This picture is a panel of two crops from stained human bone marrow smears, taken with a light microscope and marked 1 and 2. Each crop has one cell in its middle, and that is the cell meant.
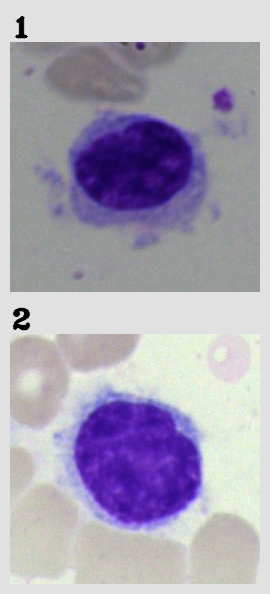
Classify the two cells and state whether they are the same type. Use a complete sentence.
Yes, both crops show hairy cells, to put it briefly.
